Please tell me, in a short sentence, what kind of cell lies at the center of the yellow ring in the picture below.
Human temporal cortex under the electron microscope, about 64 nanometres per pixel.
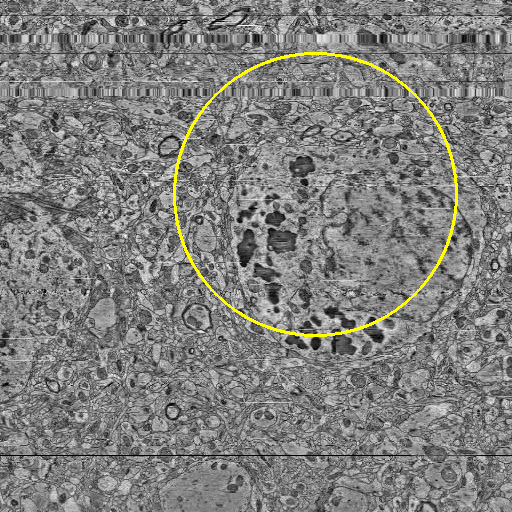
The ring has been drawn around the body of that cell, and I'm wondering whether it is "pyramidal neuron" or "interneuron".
The cell at the center of the ring is an interneuron.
